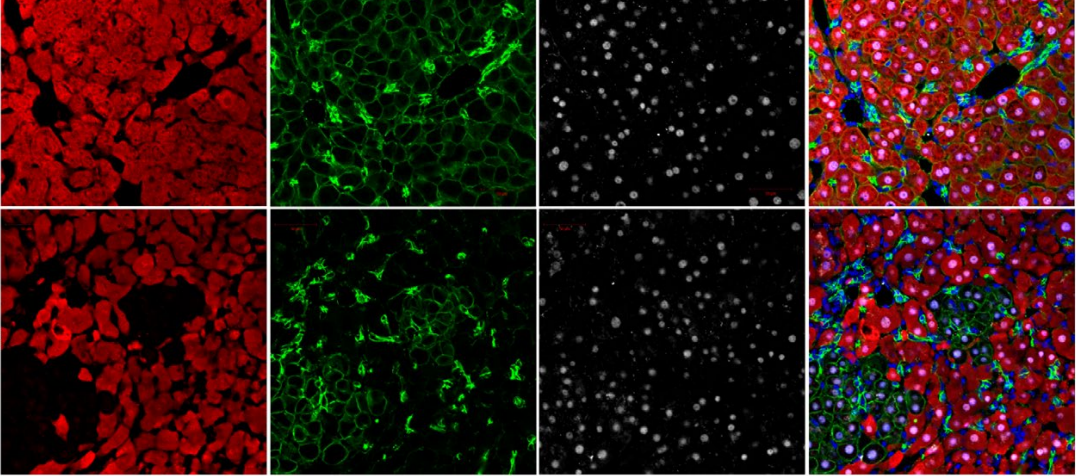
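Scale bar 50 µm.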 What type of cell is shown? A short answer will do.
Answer: Hepatocytes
